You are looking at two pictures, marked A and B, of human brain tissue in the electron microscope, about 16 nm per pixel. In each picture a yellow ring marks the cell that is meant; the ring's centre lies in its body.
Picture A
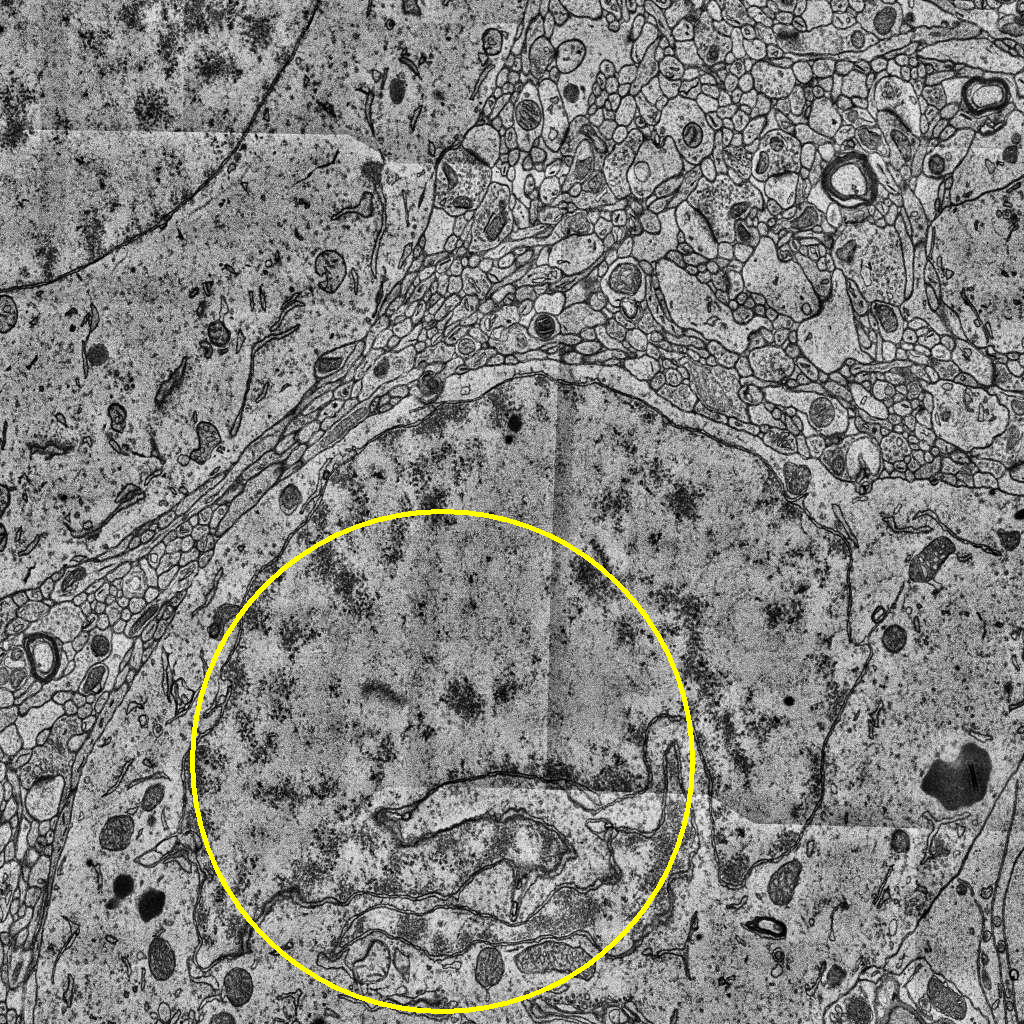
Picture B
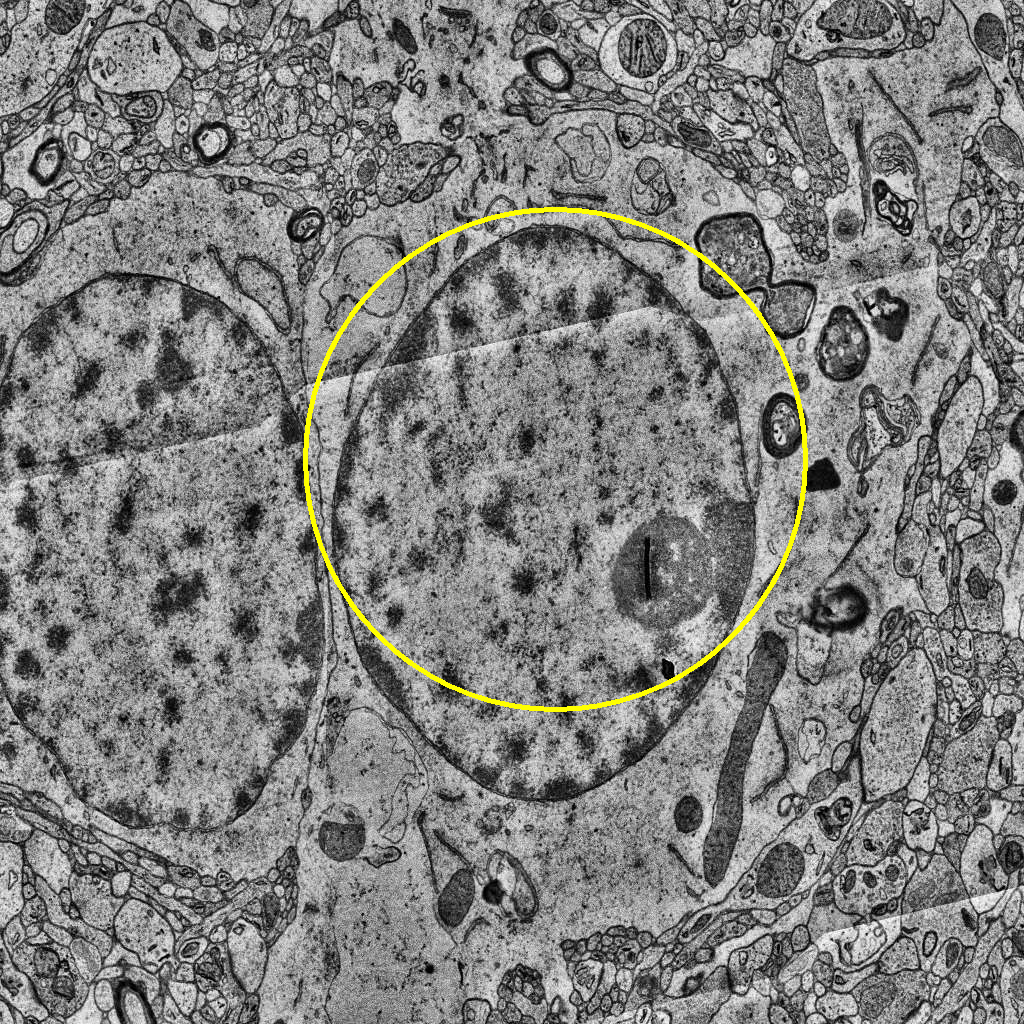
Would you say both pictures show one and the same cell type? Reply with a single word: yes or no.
no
